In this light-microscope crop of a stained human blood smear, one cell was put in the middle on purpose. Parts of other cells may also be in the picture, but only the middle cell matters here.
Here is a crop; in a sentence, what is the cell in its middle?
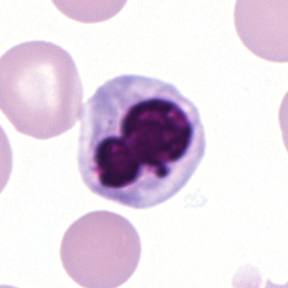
The cell at the central position in this crop is a normoblast.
